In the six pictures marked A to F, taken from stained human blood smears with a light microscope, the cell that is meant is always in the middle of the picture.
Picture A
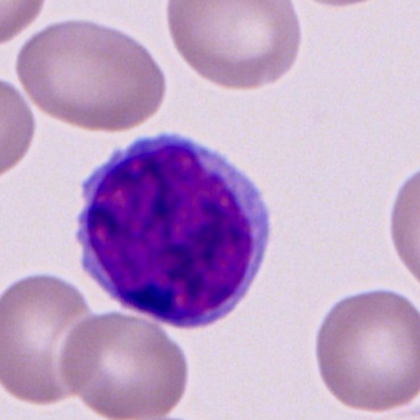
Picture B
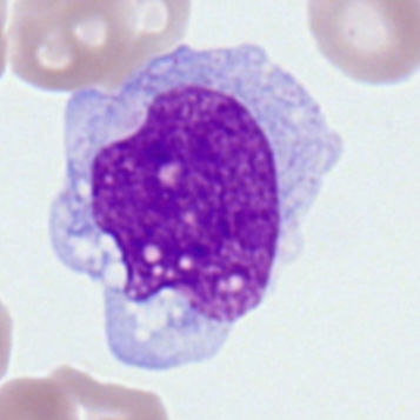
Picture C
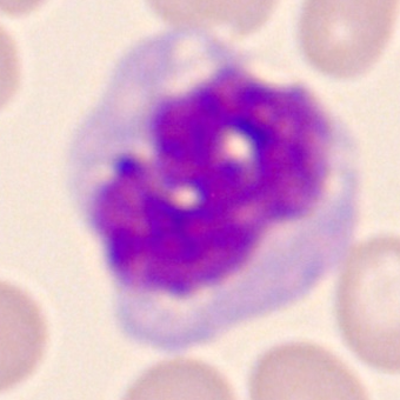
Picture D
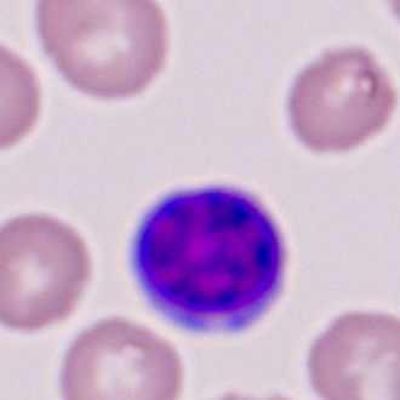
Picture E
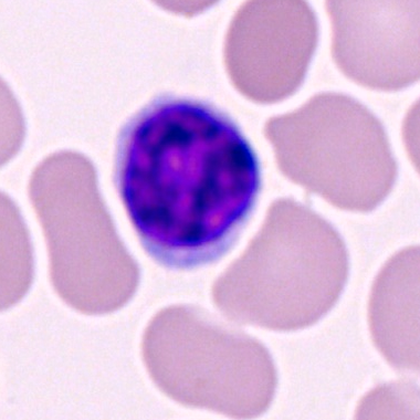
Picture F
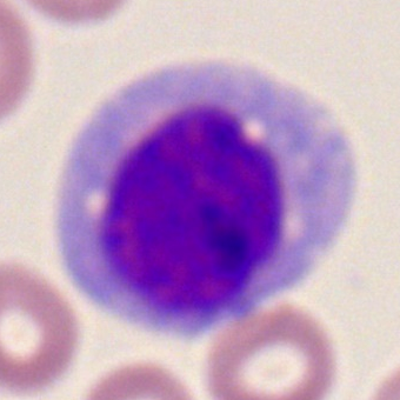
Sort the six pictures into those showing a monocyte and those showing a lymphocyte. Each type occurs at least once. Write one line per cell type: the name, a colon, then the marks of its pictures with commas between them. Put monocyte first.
monocyte: B, C, F
lymphocyte: A, D, E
